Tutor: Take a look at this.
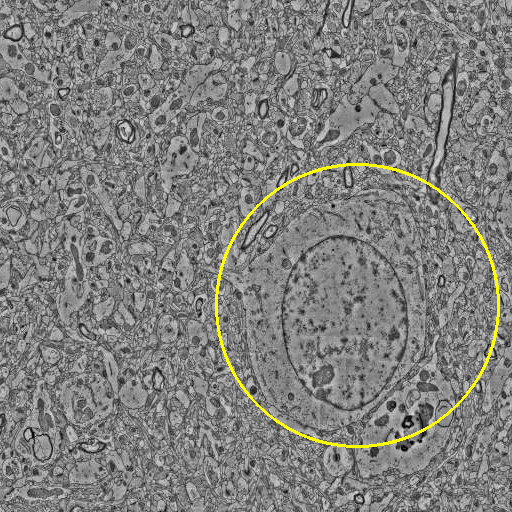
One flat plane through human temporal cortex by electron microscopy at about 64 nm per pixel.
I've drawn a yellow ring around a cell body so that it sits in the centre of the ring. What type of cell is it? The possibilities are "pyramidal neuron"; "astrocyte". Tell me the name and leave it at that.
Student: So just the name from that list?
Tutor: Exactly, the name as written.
pyramidal neuron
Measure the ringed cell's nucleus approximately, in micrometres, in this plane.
In this plane, about 11 micrometres in length and 8 in width.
